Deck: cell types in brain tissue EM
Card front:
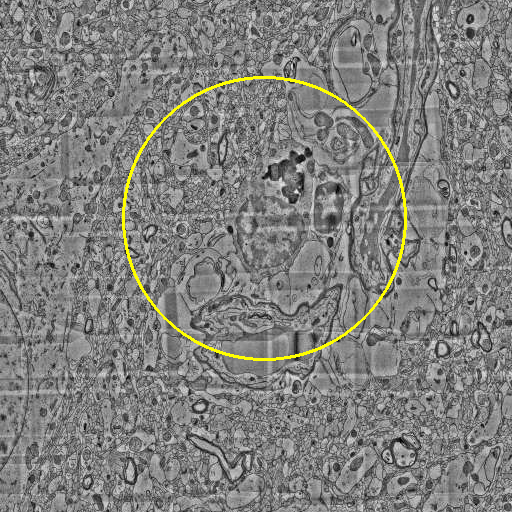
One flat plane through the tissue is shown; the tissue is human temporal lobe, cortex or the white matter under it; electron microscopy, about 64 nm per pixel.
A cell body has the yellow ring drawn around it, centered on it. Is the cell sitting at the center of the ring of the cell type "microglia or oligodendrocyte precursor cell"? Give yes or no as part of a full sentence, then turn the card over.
No, on this card the yellow ring is centered on a cell of a different type.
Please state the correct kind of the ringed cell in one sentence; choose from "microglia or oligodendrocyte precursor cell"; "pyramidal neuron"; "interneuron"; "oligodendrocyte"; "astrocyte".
The cell circled by the yellow ring is an oligodendrocyte.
